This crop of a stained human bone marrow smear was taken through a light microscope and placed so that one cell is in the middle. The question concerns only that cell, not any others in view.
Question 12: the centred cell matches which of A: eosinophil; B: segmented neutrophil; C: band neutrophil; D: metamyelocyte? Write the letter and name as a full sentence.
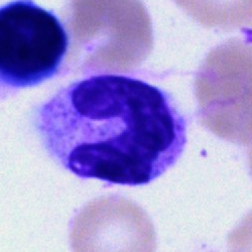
The cell right in the middle is a band neutrophil, so option C is the one.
